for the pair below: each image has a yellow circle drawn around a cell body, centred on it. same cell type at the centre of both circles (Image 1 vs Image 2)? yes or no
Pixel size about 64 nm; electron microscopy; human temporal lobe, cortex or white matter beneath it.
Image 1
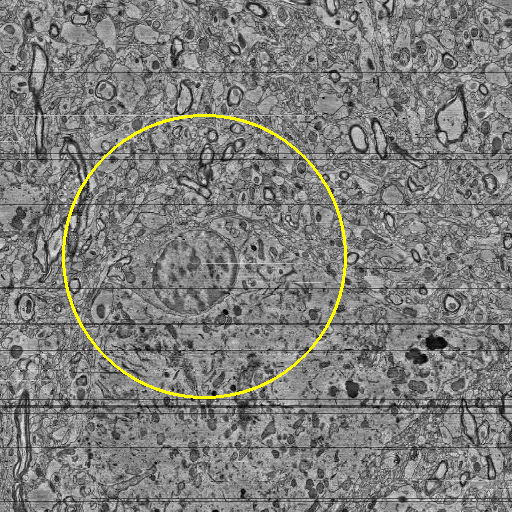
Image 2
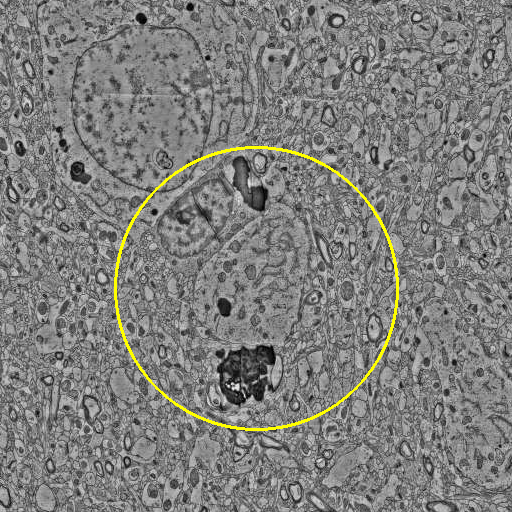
no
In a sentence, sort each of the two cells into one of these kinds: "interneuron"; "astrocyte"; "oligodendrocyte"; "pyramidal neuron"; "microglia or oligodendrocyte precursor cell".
The first of the two cells is an oligodendrocyte, and the second is a pyramidal neuron.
